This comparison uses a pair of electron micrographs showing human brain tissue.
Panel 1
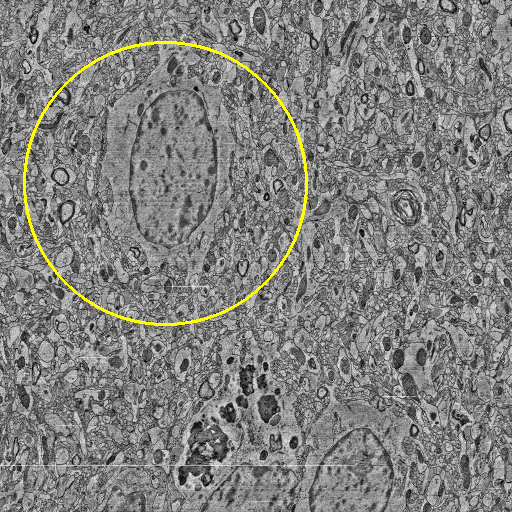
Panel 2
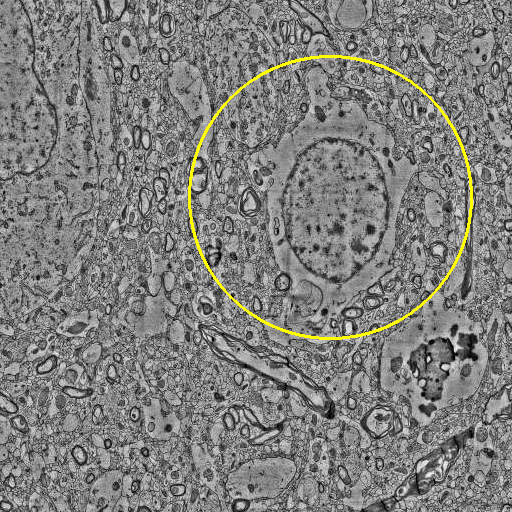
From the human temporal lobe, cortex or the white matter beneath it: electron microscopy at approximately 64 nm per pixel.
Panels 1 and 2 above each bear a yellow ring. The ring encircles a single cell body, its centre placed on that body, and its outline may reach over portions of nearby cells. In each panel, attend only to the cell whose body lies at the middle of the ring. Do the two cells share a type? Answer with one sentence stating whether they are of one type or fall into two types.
In Panel 1 and Panel 2, the cells at the centres of the rings are of one type.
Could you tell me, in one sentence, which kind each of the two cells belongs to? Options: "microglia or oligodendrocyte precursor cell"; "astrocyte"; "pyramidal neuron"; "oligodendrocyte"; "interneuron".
In both pictures the ring is centred on an astrocyte.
